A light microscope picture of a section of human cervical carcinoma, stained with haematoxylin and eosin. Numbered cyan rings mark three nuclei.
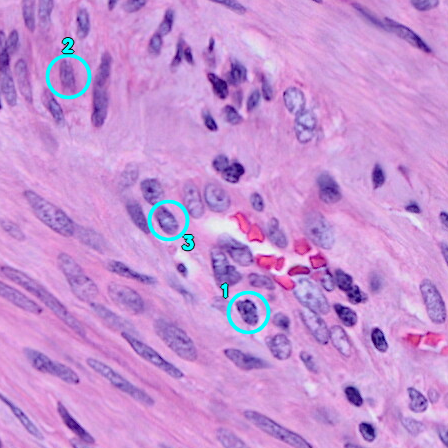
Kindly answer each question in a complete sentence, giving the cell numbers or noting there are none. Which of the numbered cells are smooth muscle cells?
The cells to which the numbers 2 and 3 refer are smooth muscle cells.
